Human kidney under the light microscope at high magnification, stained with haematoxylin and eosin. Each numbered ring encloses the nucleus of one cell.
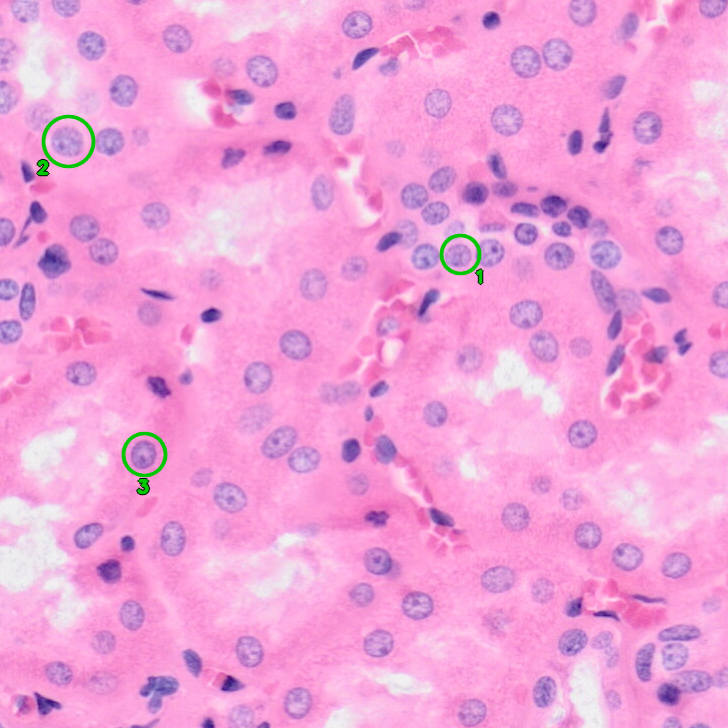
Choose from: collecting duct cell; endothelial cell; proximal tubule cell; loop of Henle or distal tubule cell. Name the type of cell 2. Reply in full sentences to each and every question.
As for number 2, that cell is a loop of Henle or distal tubule cell.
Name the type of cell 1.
The cell numbered 1 represents a collecting duct cell.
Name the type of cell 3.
Of the numbered cells, the one labelled 3 is a proximal tubule cell.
